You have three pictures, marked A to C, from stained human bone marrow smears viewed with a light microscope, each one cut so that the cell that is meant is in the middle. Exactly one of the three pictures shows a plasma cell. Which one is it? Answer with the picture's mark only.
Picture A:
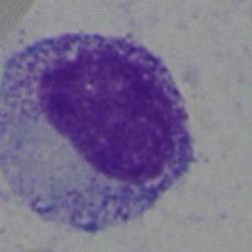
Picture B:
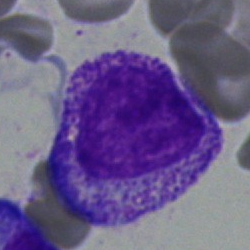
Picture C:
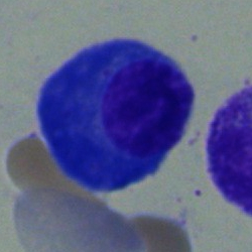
C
